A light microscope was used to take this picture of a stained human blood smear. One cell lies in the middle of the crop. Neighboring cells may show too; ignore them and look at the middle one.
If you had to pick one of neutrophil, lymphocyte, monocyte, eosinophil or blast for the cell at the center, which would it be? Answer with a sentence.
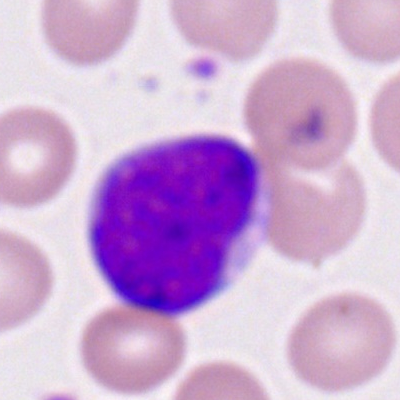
In this crop, the cell at the very middle is a blast.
